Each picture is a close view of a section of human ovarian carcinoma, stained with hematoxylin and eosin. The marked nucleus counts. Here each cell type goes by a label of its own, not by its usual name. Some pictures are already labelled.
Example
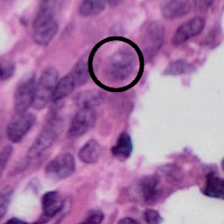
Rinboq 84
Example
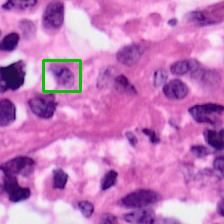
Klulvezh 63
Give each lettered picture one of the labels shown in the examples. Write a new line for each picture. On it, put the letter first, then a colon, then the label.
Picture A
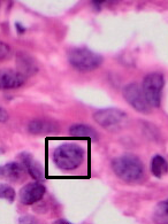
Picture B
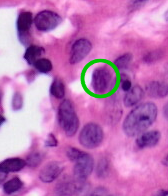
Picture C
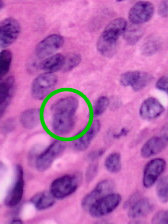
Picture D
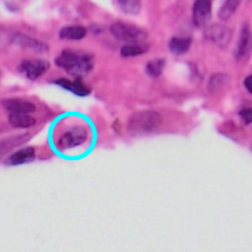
A: Klulvezh 63
B: Rinboq 84
C: Rinboq 84
D: Klulvezh 63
